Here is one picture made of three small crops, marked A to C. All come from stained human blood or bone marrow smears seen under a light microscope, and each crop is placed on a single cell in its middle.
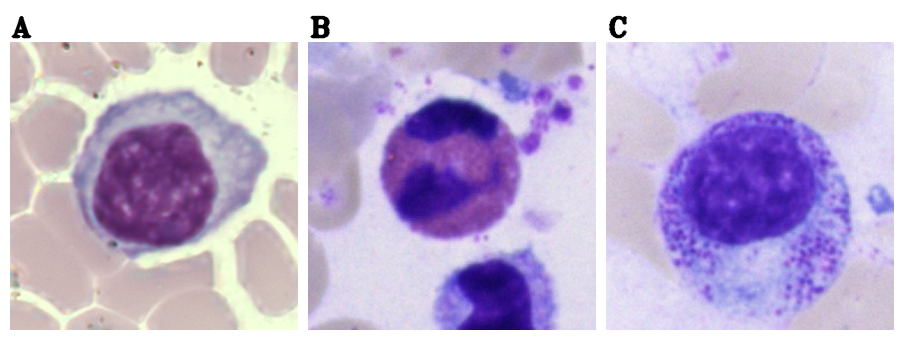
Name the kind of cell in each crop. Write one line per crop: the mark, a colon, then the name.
A: plasma cell
B: eosinophil
C: myelocyte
